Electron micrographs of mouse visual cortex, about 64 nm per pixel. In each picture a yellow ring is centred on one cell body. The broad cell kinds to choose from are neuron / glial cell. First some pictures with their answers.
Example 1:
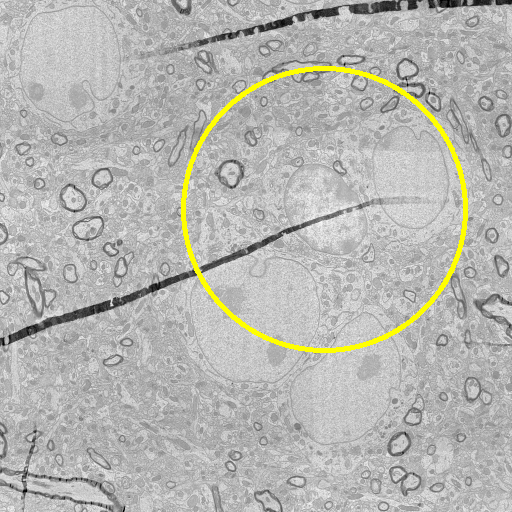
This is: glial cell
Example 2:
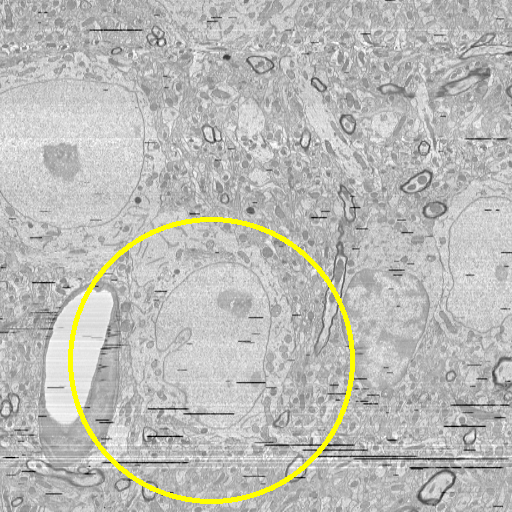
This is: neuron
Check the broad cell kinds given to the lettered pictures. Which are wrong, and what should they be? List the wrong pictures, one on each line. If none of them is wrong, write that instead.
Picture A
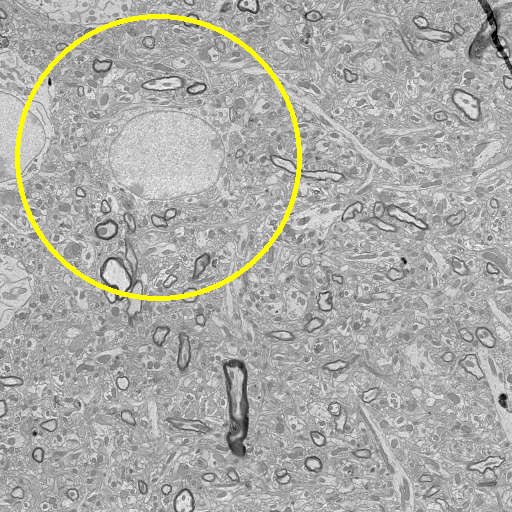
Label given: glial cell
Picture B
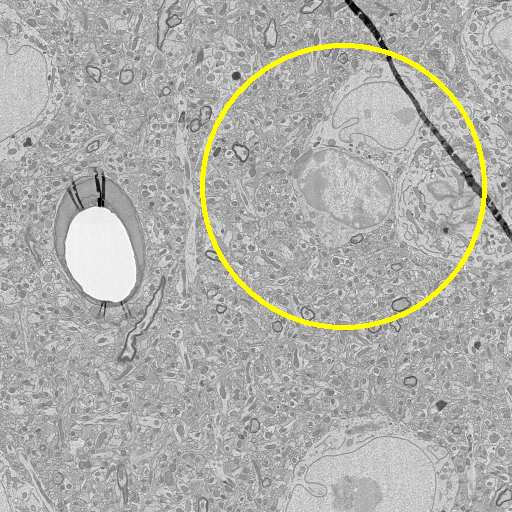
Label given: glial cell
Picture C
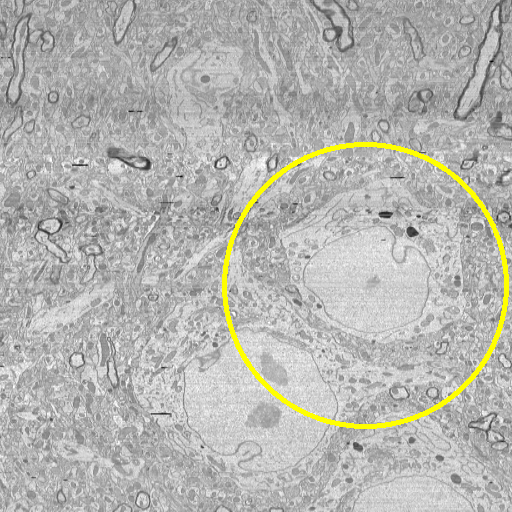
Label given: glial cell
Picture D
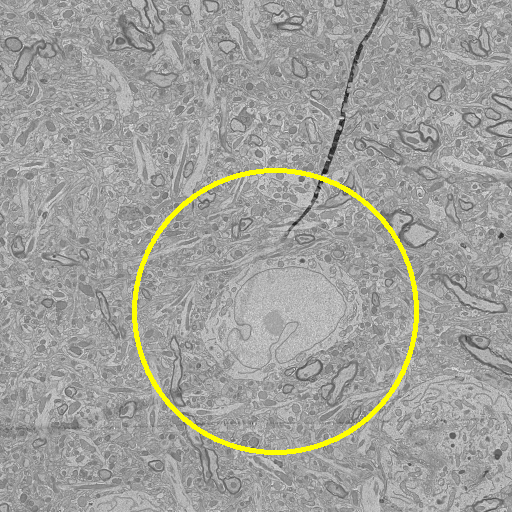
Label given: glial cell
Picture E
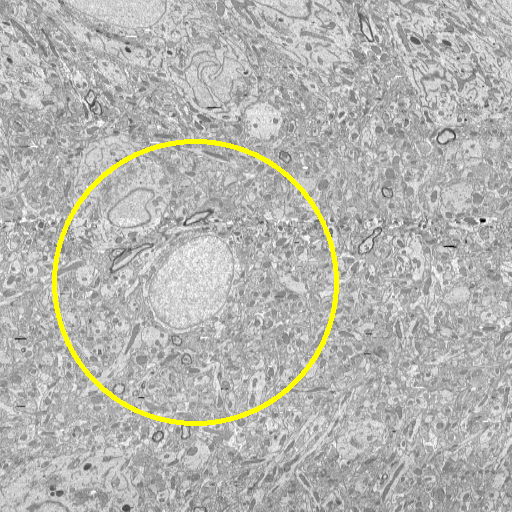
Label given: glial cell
C: change glial cell to neuron
D: change glial cell to neuron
